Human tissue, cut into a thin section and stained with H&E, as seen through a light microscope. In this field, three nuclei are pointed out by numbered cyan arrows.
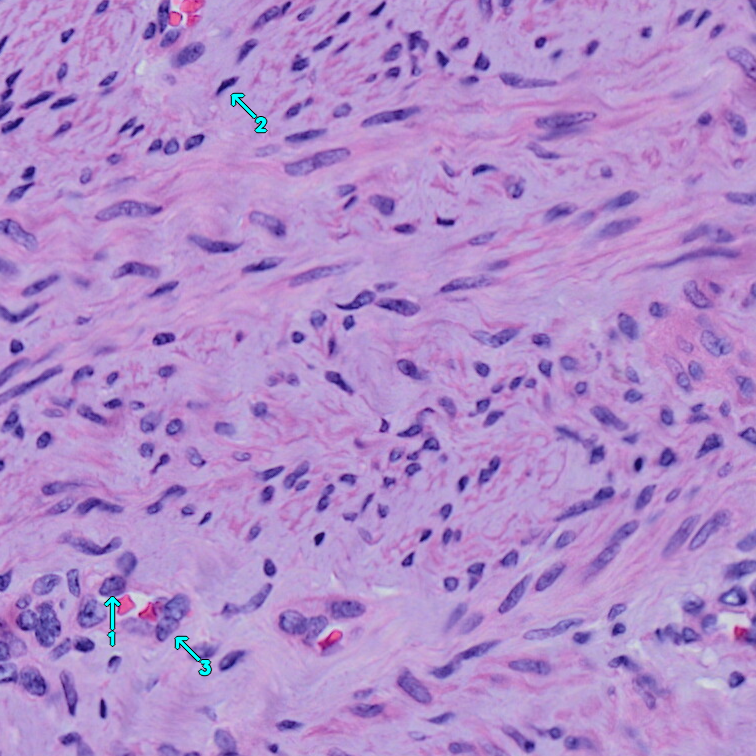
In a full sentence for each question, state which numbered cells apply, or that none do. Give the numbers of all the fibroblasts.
Only one marked cell, number 2, is a fibroblast.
